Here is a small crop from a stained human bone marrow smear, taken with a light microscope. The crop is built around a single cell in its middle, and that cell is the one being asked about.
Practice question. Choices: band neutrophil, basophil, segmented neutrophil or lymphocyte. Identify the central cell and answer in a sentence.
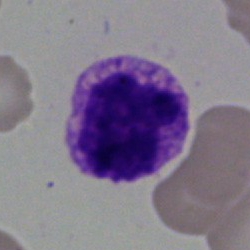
The cell sitting right in the middle is a basophil.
